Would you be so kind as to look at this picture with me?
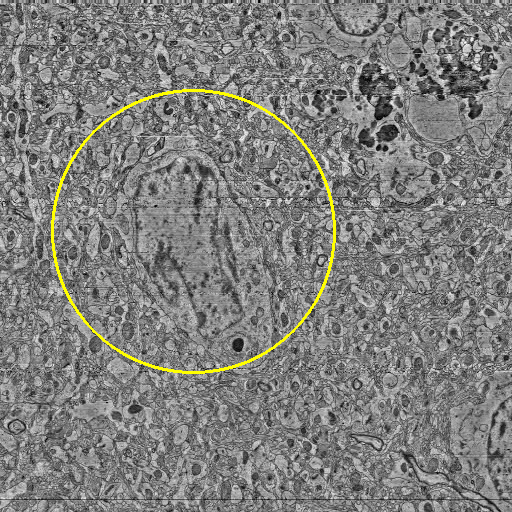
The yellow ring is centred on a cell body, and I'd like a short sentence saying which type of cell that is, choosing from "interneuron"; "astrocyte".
The cell body in the ring belongs to an interneuron.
